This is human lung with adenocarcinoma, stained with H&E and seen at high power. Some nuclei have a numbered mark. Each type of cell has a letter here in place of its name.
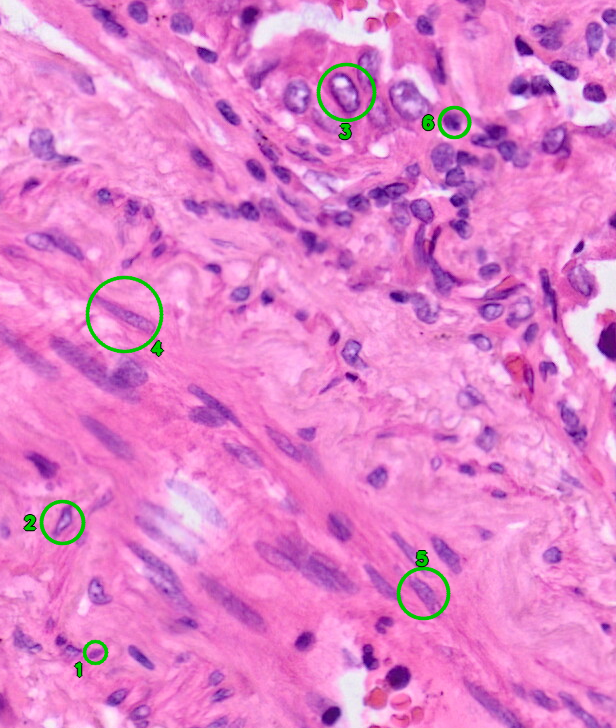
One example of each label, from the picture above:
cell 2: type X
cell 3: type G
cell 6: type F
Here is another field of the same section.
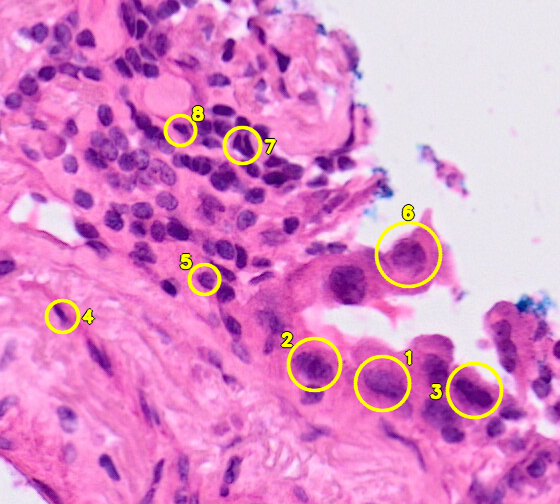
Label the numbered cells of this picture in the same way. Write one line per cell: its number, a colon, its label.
1: type G
2: type G
3: type G
4: type X
5: type F
6: type G
7: type F
8: type F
